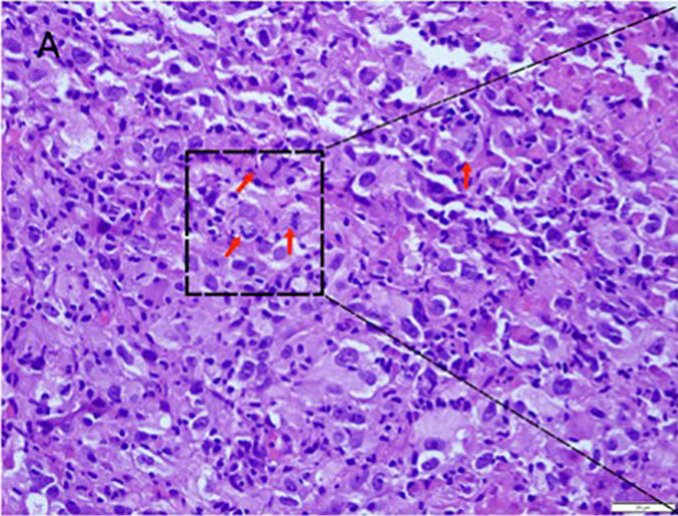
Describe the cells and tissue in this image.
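This is a medium-power view of densely cellular tumor tissue stained purple and pink. The cells lie in sheets without clear glandular arrangement, separated by narrow clear clefts. Nuclei are crowded, dark purple and variable in size, from small round to larger oval forms. Several larger cells have abundant pale pink cytoplasm around prominent nuclei. A few cells contain dark, irregular, condensed nuclear material suggestive of division.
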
